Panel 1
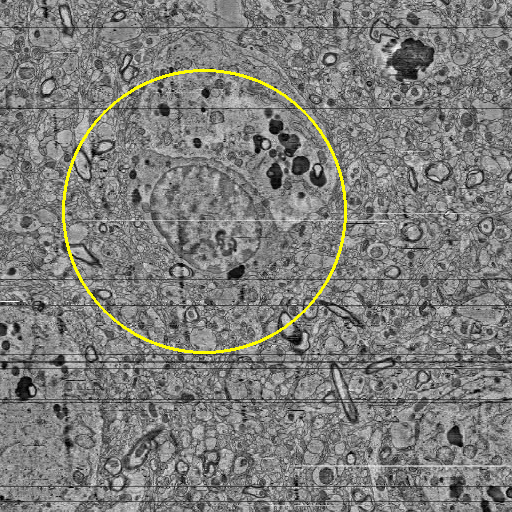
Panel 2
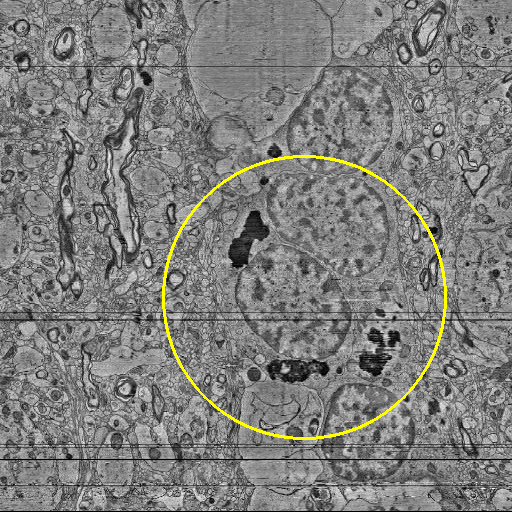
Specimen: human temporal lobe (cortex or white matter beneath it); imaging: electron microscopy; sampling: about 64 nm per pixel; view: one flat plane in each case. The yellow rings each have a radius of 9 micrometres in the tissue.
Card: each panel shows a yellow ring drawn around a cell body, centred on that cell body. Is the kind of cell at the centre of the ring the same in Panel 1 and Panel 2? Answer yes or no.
yes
